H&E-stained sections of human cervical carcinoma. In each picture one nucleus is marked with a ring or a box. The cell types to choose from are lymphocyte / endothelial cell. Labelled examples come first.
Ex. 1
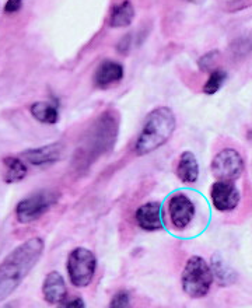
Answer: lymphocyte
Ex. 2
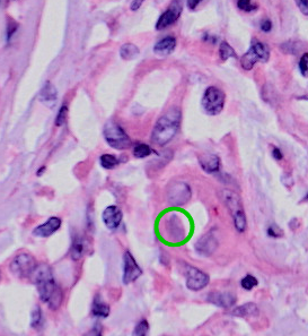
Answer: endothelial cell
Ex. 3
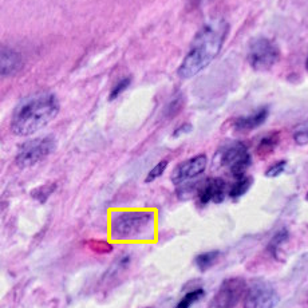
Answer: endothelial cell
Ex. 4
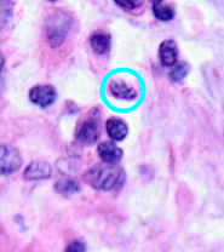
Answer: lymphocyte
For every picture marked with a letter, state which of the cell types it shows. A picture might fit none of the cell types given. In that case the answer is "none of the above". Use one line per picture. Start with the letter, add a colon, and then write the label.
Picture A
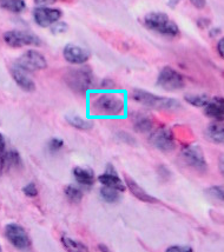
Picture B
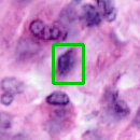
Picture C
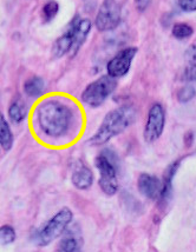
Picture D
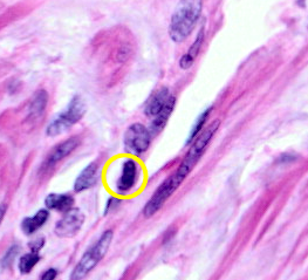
A: endothelial cell
B: lymphocyte
C: endothelial cell
D: lymphocyte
